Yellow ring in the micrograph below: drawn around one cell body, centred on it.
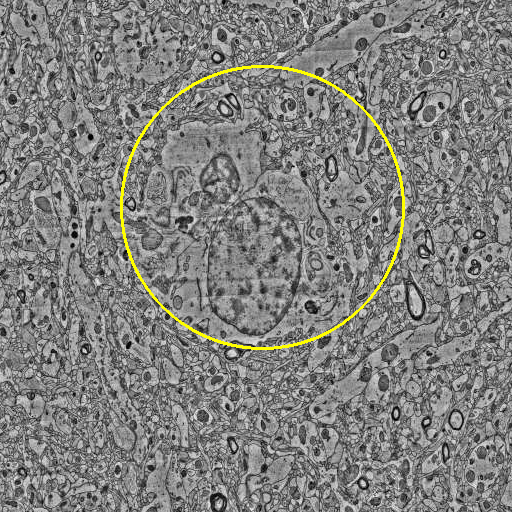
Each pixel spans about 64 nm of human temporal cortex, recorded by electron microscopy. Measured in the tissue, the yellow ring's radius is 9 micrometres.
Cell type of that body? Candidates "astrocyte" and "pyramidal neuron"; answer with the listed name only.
astrocyte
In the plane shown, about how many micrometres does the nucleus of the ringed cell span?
About 11 by 7 micrometers for the nucleus, in this plane.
